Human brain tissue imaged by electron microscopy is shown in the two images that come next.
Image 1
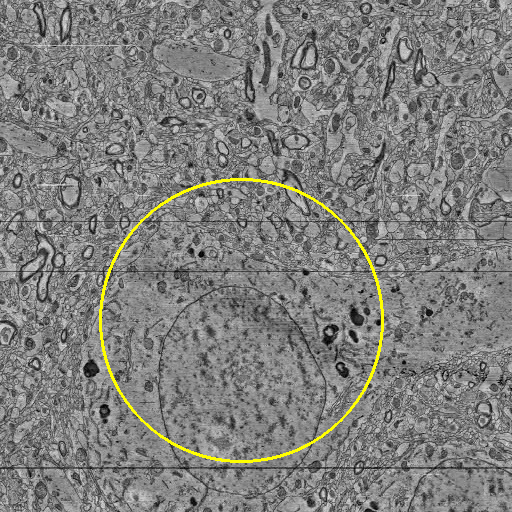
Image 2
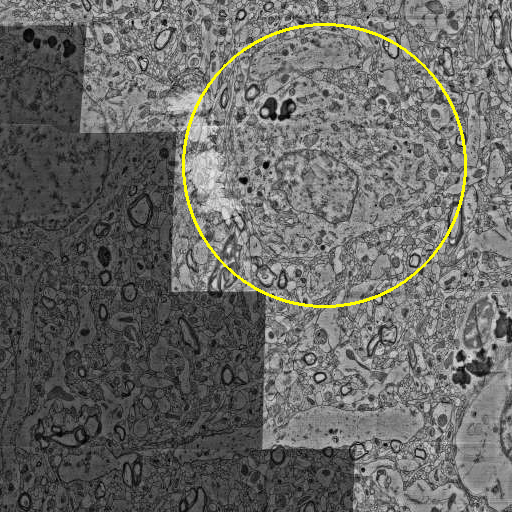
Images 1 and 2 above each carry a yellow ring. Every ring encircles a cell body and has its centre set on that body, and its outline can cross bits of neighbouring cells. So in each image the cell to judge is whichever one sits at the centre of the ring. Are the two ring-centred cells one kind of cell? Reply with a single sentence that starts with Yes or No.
Yes, in Image 1 and Image 2 the cells at the centres of their rings fall into one type.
